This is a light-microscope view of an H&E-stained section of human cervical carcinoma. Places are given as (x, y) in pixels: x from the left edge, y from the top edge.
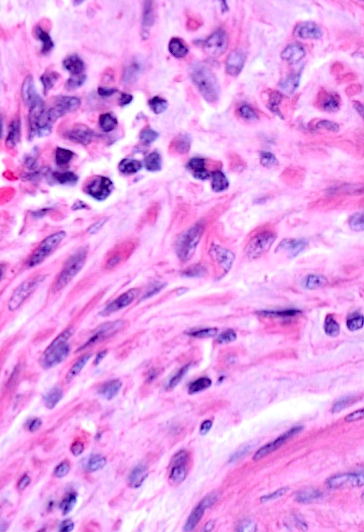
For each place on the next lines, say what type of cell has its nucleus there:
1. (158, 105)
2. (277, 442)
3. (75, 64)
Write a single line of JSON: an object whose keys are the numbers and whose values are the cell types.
{"1": "lymphocyte", "2": "smooth muscle cell", "3": "lymphocyte"}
